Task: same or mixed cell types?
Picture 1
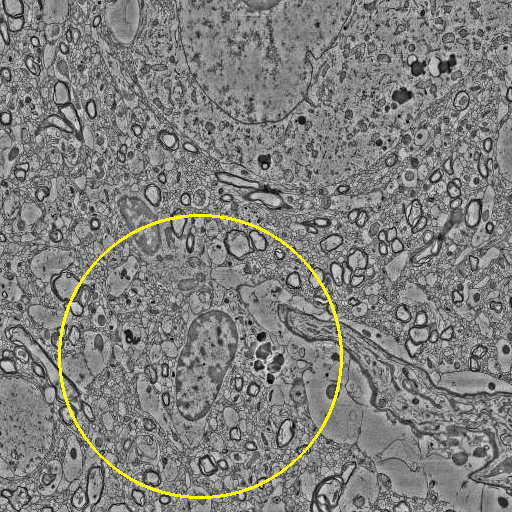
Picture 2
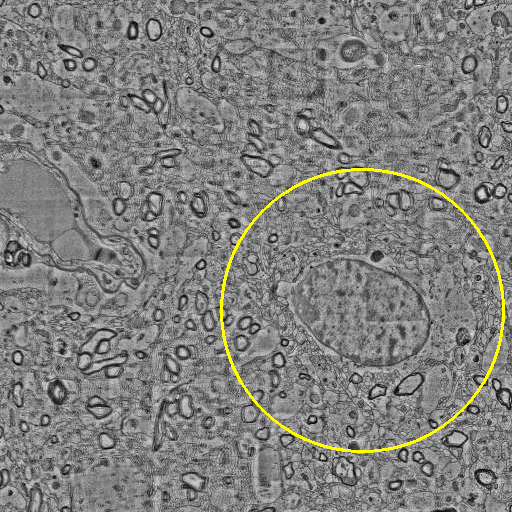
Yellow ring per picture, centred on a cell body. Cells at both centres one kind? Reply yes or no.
yes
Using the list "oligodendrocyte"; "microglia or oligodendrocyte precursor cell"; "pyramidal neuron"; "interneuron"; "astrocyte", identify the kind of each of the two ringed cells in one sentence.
Each cell at the centre of a ring is a microglial cell or oligodendrocyte precursor cell.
